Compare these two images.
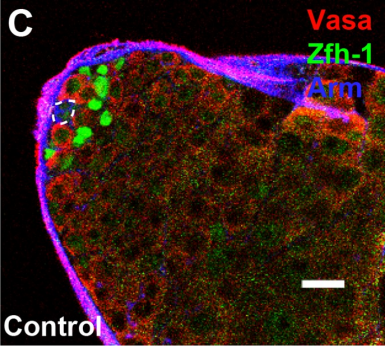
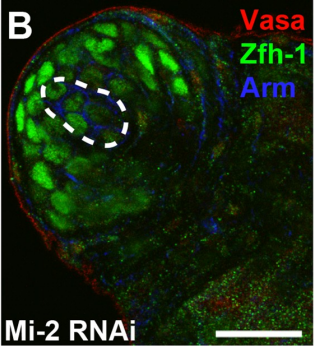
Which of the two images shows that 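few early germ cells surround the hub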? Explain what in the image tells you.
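The second image. First image: many red-stained germ cells fill the apical region near the hub.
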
